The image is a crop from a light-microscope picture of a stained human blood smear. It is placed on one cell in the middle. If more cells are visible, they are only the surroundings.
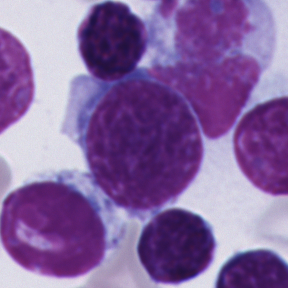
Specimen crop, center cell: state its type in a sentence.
The centrally positioned cell in the crop represents a blast.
